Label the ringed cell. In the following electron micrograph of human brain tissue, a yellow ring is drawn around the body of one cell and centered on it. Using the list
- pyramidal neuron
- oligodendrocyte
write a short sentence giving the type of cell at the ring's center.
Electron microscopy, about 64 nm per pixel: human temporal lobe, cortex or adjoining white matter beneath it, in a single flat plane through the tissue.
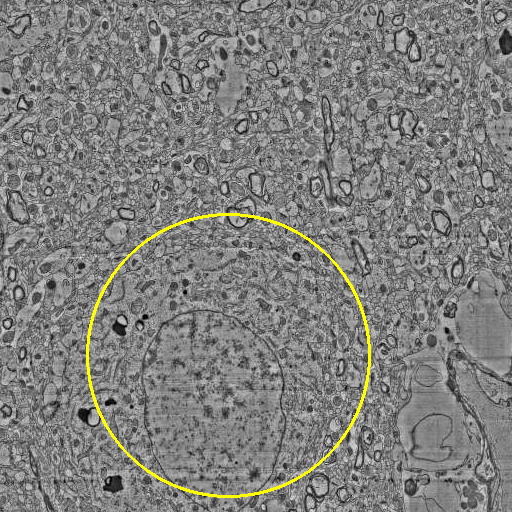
The cell body at the ring's center is that of a pyramidal neuron.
